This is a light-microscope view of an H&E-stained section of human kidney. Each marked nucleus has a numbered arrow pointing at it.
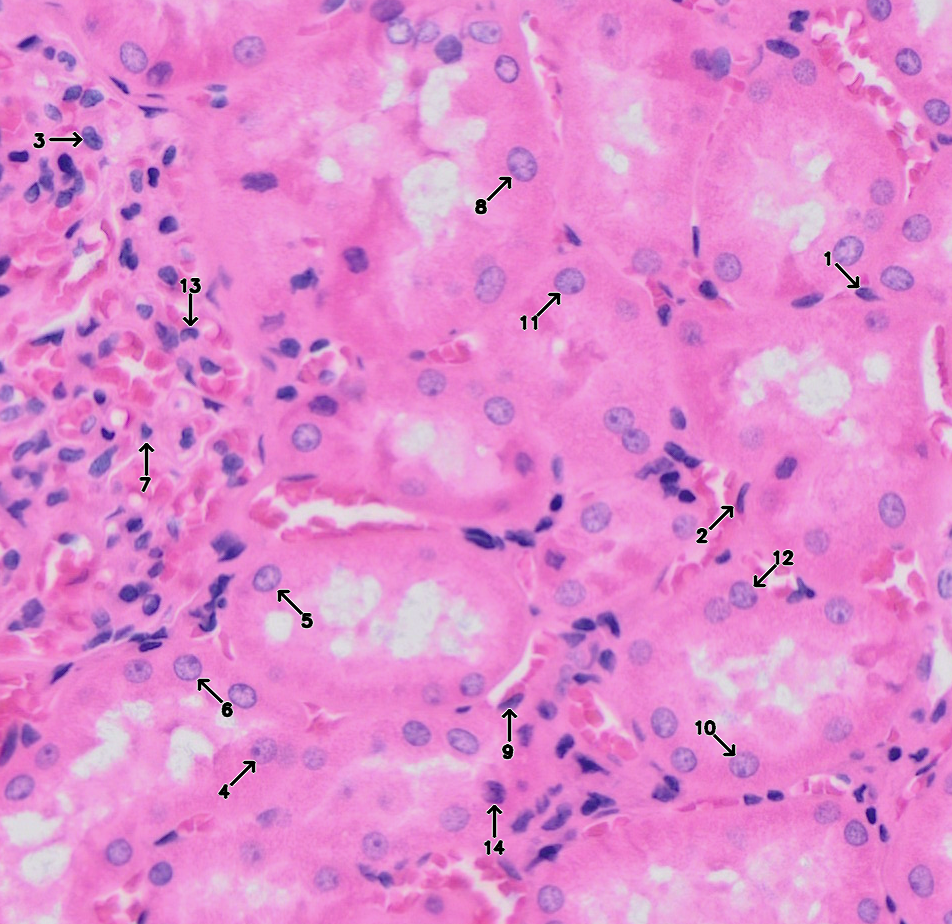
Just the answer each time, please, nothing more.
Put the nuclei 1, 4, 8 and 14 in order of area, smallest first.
1, 14, 4, 8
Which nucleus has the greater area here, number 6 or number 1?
6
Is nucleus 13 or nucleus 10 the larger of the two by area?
10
